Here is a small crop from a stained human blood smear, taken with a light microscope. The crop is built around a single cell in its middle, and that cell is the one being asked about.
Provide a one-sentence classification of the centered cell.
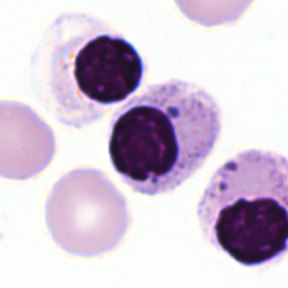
In this crop, the cell at the very middle is a normoblast.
